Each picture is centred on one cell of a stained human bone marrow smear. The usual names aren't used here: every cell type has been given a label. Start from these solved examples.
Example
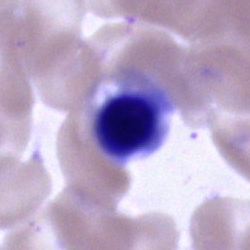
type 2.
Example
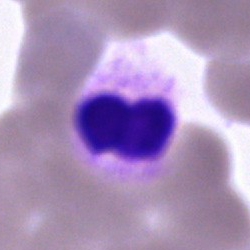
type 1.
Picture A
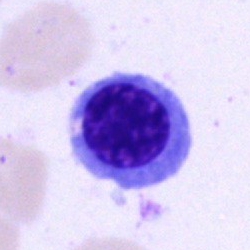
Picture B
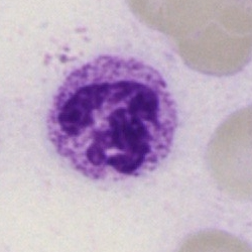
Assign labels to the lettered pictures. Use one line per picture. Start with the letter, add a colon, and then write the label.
A: type 2.
B: type 1.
